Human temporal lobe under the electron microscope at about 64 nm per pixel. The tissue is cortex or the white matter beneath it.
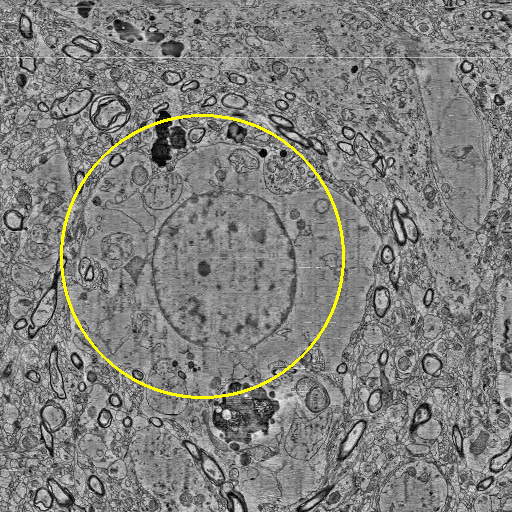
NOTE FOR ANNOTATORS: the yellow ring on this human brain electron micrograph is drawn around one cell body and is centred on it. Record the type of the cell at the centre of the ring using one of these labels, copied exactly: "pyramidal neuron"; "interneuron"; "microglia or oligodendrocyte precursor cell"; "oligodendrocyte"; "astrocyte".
astrocyte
